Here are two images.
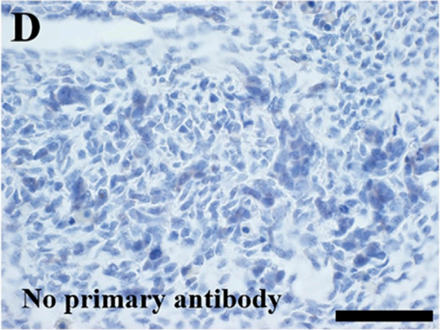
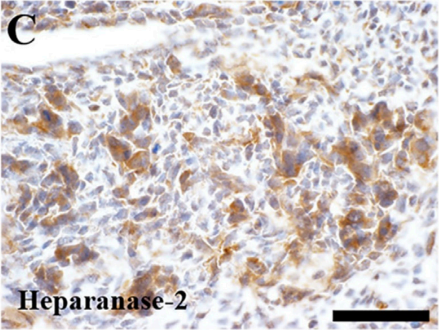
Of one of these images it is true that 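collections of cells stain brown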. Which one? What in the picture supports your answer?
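The second image. First image: cells show only blue nuclei and pale cytoplasm, no brown. Second image: clusters of cells have brown cytoplasm among blue nuclei.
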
